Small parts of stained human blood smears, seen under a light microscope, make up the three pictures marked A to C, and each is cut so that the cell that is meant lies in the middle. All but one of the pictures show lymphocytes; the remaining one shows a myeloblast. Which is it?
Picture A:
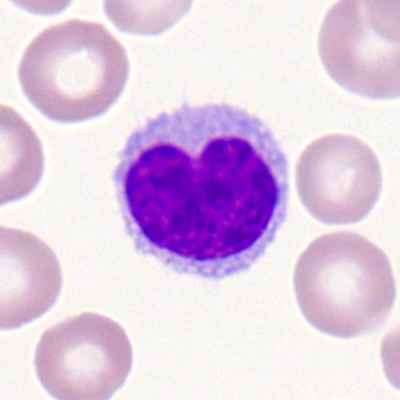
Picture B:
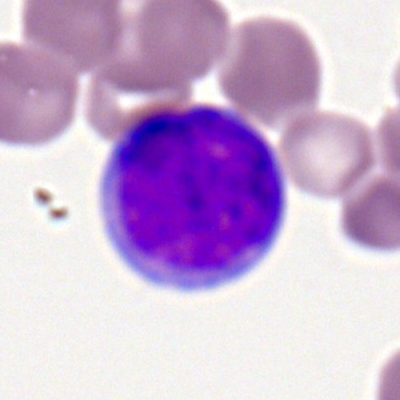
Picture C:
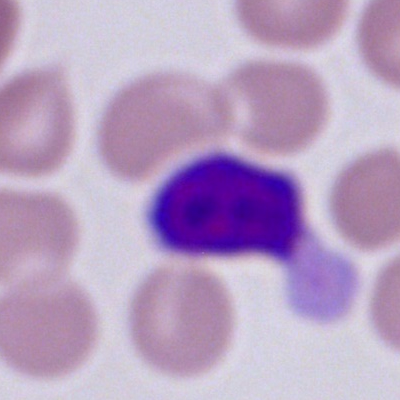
B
